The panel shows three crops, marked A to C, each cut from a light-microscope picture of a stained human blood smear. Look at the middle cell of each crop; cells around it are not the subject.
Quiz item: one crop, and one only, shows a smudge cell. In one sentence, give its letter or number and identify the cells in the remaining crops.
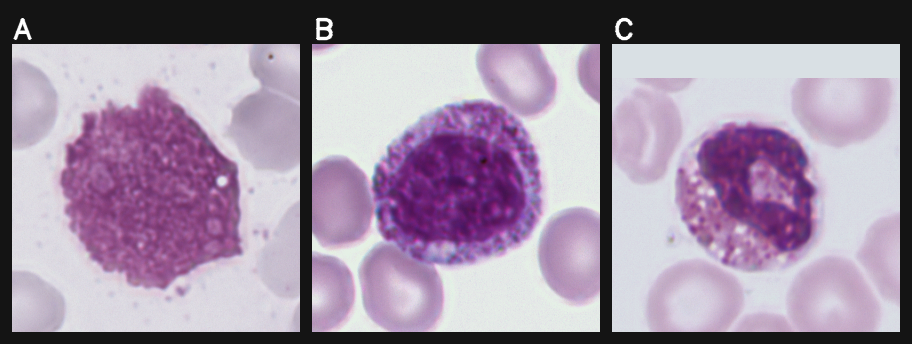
In the set, crop A shows a smudge cell, whereas crop B is a myelocyte and crop C is an eosinophil.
